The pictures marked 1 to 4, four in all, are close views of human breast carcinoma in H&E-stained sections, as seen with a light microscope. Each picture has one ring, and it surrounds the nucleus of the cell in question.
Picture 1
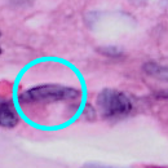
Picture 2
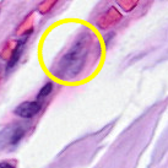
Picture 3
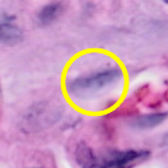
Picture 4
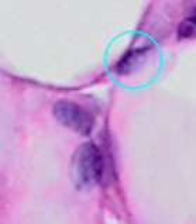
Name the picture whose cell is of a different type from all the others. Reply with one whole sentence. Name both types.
All pictures except 4 show endothelial cells; picture 4 shows a fibroblast.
